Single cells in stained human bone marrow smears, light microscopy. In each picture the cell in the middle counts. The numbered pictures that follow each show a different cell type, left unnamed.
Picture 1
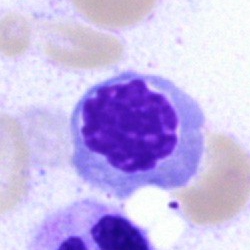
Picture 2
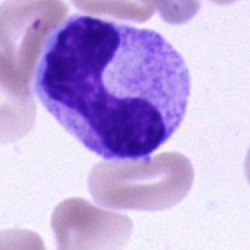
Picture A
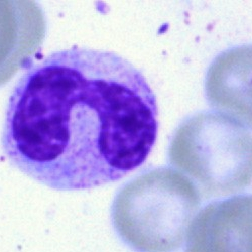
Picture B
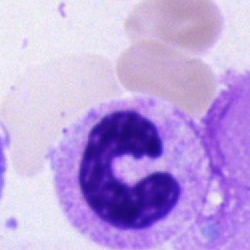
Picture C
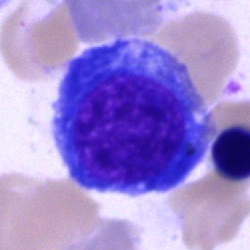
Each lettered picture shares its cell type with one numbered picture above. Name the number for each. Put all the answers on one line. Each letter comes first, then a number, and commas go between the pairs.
A 2, B 2, C 1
